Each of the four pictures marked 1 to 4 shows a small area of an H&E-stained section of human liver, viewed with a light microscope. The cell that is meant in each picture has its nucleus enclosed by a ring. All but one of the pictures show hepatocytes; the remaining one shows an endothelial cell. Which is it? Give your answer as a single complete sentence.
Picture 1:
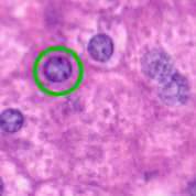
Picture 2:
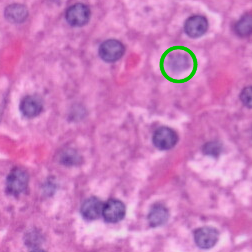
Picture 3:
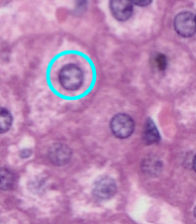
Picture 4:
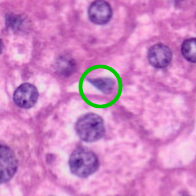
It is picture 4 that shows the endothelial cell.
